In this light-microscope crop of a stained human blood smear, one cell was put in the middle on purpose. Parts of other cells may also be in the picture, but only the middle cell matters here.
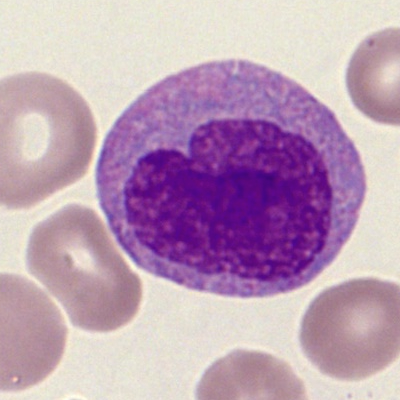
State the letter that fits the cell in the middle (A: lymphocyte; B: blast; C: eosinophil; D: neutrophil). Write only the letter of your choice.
B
